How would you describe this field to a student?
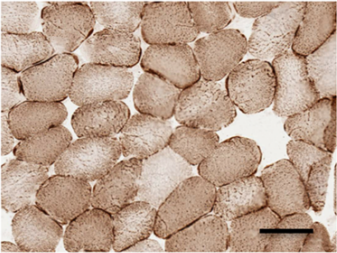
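This is a cross-section of skeletal muscle, with the muscle fibers cut across as rounded, polygonal profiles packed closely side by side. Every fiber is stained brown, some a darker brown and some lighter, giving a mosaic of fiber shades. Within the fibers a fine dotted brown texture can be made out, often denser toward the edges. No fiber here is blue or unstained. Narrow pale gaps separate the fibers, with a larger empty space in between some of them.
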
